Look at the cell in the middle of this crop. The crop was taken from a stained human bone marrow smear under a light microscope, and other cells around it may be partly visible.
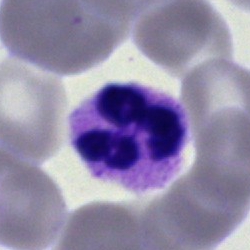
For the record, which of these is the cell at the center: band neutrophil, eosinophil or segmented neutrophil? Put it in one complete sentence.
Among the cells in view, the one in the middle is a segmented neutrophil.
